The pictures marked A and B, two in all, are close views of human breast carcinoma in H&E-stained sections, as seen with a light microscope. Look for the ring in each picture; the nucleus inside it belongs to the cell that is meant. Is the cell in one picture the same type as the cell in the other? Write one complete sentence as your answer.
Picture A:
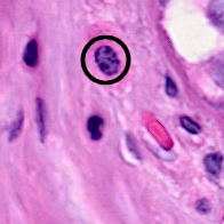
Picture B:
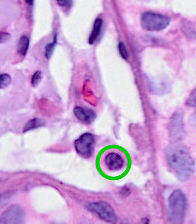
Yes, both are mast cells.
